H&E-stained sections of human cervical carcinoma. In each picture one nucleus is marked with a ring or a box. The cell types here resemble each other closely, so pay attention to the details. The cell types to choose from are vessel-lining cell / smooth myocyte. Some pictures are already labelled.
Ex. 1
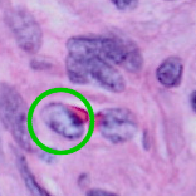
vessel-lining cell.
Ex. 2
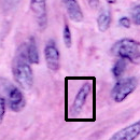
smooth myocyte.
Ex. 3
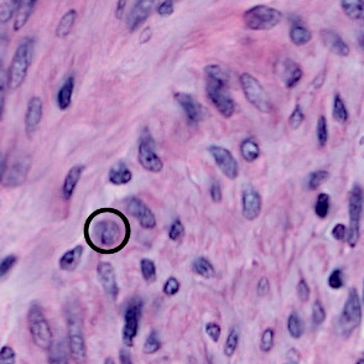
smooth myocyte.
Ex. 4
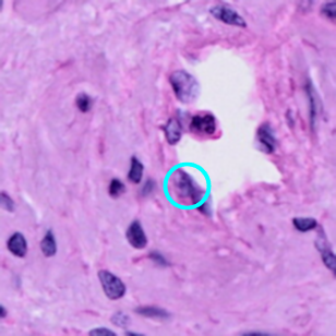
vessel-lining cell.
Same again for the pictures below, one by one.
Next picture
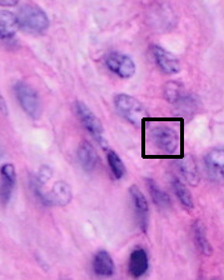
vessel-lining cell.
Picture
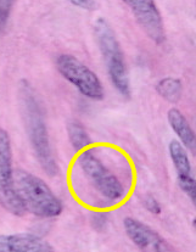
smooth myocyte.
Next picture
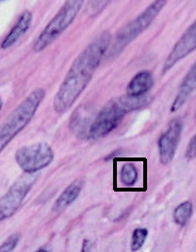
smooth myocyte.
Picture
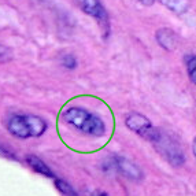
smooth myocyte.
